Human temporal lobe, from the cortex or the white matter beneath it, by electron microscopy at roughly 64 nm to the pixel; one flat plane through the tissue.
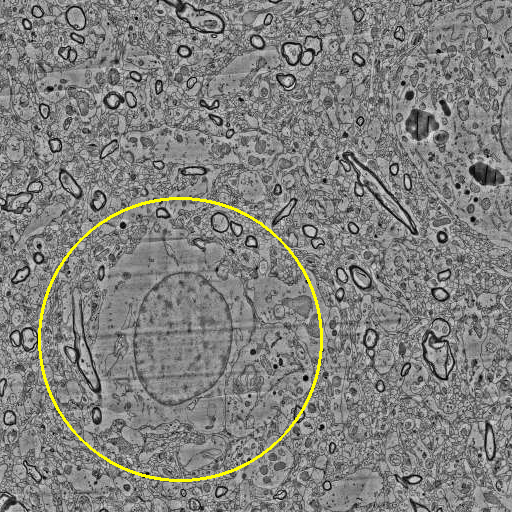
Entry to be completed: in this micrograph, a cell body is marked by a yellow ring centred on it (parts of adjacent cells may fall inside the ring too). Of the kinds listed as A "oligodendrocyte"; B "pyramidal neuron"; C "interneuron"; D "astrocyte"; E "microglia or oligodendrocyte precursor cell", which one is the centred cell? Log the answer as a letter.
D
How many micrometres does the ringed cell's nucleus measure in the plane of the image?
In this plane, approximately 9 by 6 micrometers.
